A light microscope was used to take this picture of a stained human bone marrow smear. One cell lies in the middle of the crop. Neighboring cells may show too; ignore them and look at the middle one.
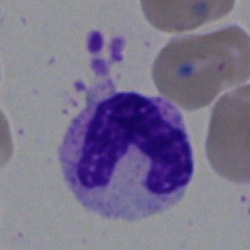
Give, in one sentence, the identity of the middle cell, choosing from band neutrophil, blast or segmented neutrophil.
In the centre of this crop there is a band neutrophil.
